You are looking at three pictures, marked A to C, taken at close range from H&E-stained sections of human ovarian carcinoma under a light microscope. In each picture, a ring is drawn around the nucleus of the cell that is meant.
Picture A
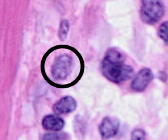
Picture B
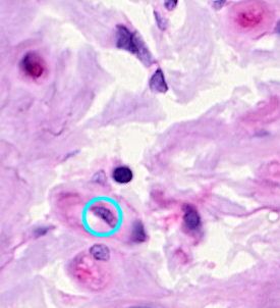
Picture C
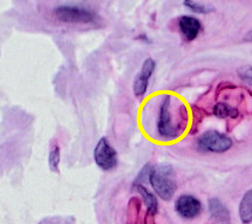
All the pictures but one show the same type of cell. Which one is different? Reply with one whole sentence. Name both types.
Picture A differs, because its cell is a “macrophage or monocyte” and the rest are endothelial cells.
